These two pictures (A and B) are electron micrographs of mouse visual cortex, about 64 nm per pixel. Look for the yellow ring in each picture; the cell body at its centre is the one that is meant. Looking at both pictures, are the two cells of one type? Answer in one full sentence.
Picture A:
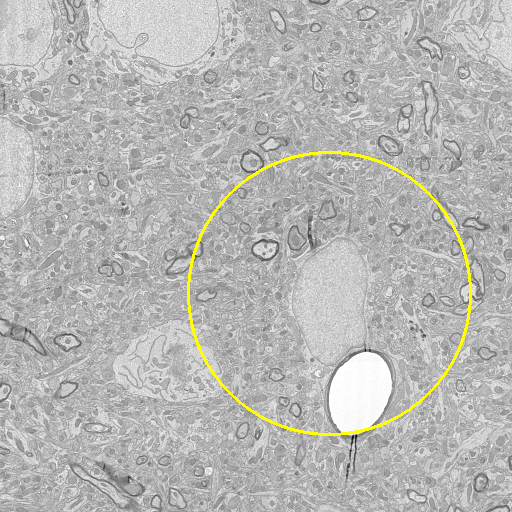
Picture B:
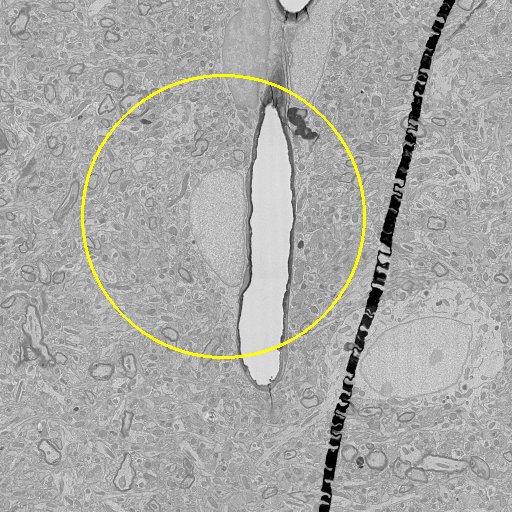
Yes, they are the same type: both are astrocytes.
